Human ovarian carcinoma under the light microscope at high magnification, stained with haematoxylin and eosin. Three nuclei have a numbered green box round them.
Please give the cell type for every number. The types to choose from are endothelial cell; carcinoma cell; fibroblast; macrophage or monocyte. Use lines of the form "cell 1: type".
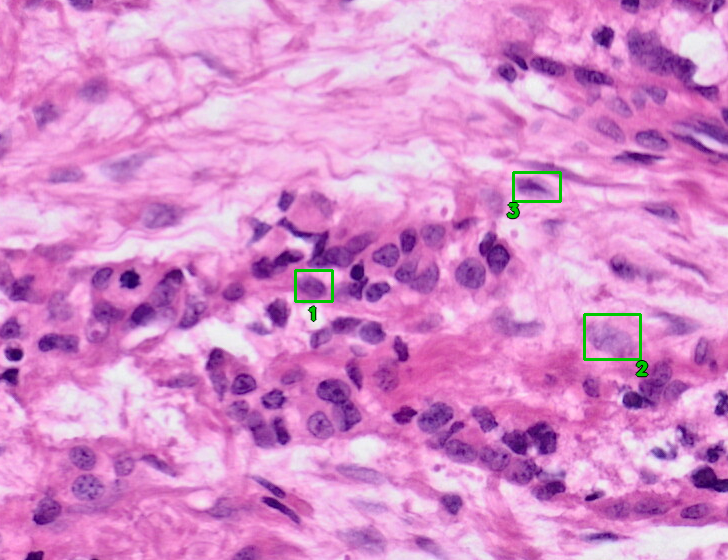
cell 1: carcinoma cell
cell 2: fibroblast
cell 3: fibroblast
